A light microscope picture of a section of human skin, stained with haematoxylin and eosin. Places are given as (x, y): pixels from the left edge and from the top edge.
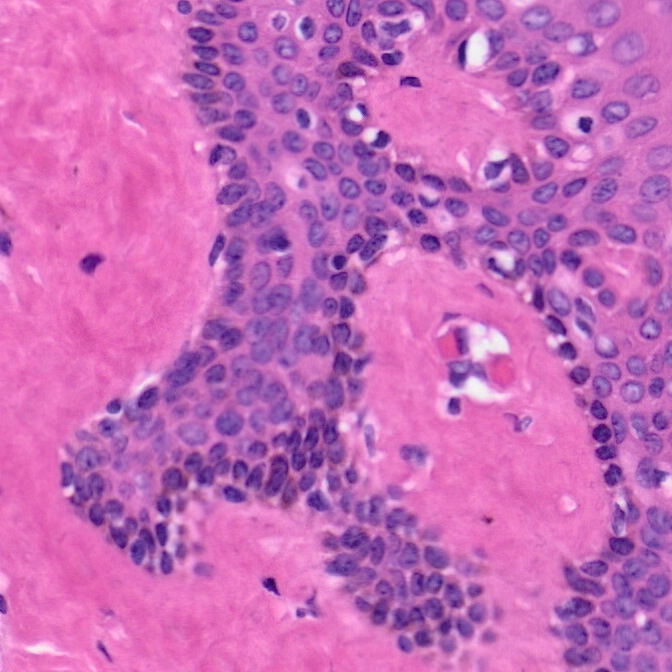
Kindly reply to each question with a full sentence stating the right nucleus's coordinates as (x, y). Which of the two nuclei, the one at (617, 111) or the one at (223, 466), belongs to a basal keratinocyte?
The nucleus at (223, 466) belongs to a basal keratinocyte, which distinguishes it from the other nucleus.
